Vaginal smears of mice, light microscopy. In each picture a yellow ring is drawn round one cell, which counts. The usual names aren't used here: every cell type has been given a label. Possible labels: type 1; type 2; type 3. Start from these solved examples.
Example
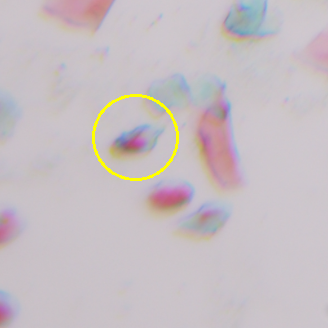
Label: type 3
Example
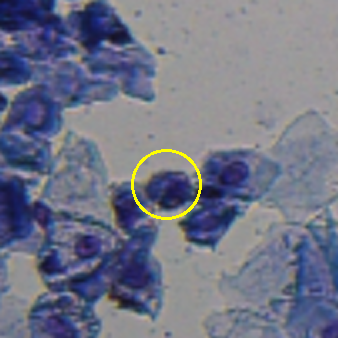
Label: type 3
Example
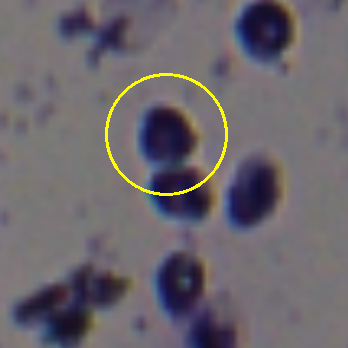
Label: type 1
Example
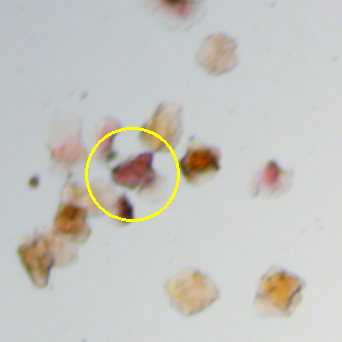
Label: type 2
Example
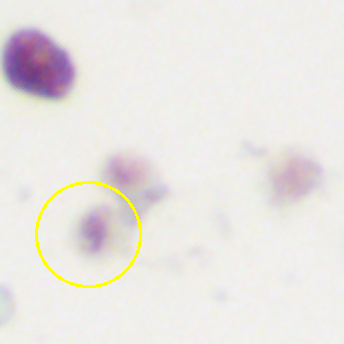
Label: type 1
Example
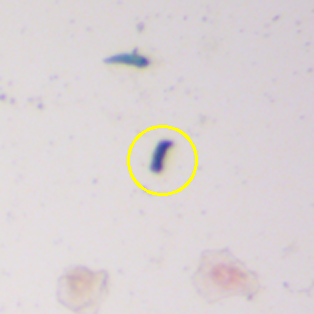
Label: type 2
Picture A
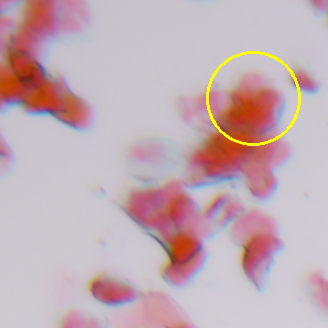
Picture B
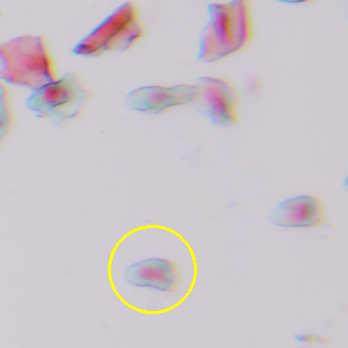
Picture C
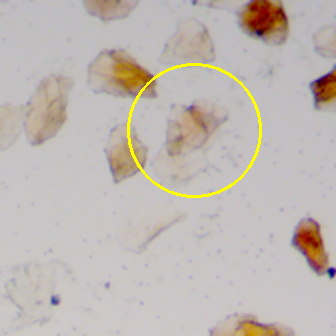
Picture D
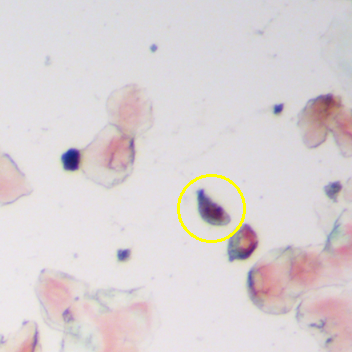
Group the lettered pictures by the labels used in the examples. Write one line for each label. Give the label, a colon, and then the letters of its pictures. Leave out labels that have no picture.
type 2: A, C
type 3: B, D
